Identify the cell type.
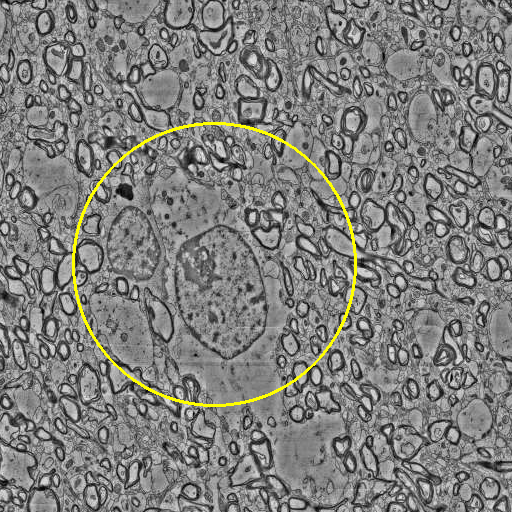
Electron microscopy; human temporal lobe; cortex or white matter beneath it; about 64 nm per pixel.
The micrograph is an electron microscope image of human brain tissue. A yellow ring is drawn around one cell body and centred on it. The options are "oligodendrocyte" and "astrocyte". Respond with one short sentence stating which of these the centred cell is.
The cell body in the ring belongs to an astrocyte.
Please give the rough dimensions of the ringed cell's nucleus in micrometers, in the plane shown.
About 9 by 6 micrometers; the nucleus is clearly longer than it is wide in this plane.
